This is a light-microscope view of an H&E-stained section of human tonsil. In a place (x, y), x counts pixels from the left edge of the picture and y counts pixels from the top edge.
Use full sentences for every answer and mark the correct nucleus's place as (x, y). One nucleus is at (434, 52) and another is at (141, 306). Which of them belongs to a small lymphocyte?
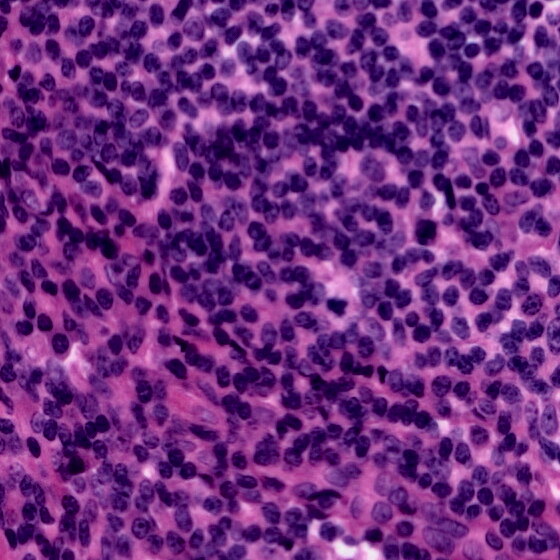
The nucleus situated at (434, 52) is the one belonging to a small lymphocyte.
